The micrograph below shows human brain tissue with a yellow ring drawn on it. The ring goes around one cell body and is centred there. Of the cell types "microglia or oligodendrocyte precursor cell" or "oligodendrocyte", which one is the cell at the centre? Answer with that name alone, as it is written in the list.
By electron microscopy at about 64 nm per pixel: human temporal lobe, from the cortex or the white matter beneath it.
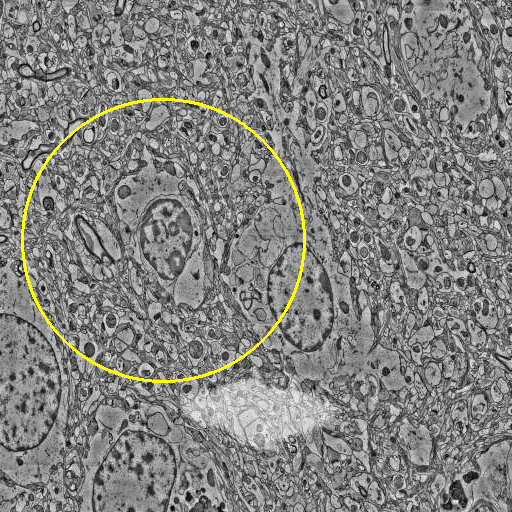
microglia or oligodendrocyte precursor cell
